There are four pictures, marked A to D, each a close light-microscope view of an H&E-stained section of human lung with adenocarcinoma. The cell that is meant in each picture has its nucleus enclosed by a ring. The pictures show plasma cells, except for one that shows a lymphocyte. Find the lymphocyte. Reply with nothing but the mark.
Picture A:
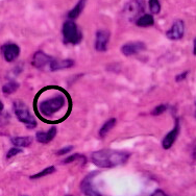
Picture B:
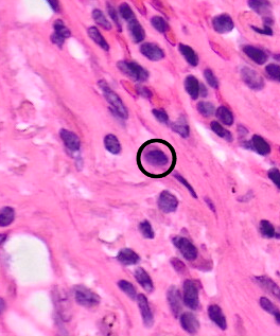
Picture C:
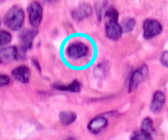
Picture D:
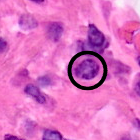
C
